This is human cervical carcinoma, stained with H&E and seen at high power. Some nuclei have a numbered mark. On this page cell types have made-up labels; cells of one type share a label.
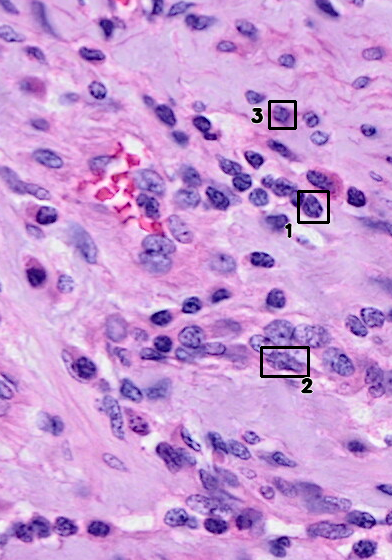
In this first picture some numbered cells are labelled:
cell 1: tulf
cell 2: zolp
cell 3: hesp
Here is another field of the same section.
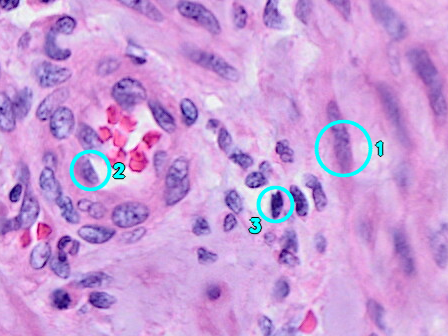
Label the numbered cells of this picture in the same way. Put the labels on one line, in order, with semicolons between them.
hesp; zolp; tulf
